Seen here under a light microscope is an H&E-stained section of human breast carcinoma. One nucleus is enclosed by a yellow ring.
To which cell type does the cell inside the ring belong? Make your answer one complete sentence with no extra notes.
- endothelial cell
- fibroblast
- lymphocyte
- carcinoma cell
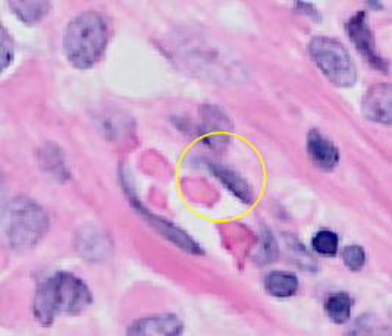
Labelled by cell type, the cell inside the ring is an endothelial cell.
